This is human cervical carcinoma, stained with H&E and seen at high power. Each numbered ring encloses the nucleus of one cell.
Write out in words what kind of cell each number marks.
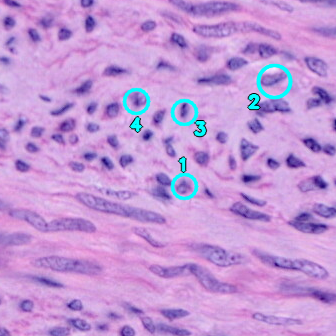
Cells 1 and 4 are smooth muscle cells. Cells 2 and 3 are fibroblasts.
